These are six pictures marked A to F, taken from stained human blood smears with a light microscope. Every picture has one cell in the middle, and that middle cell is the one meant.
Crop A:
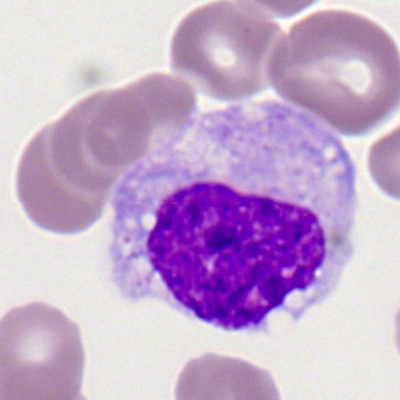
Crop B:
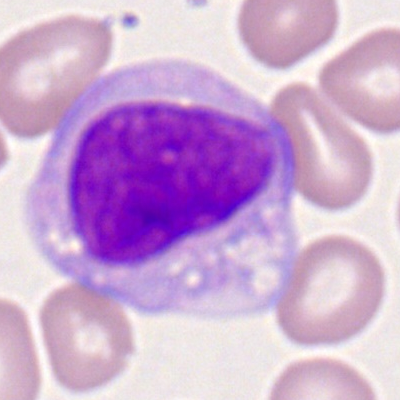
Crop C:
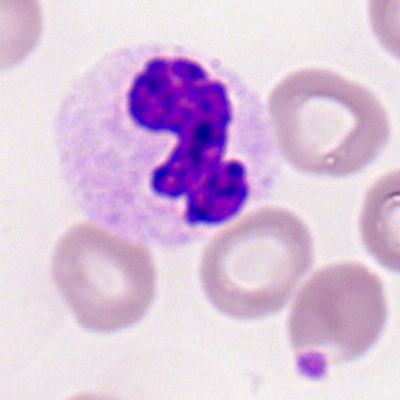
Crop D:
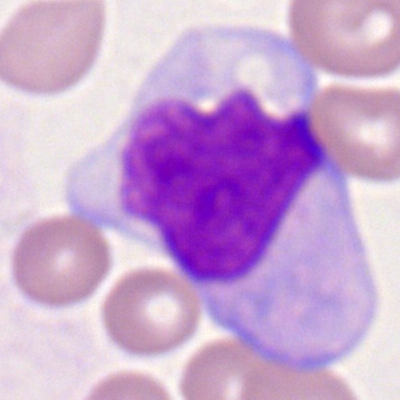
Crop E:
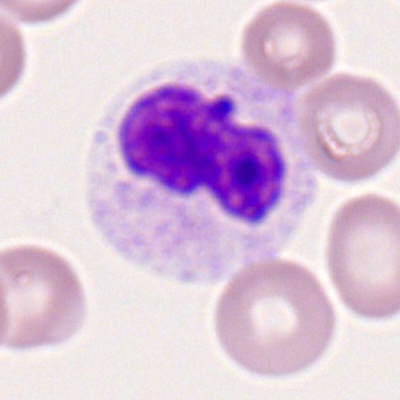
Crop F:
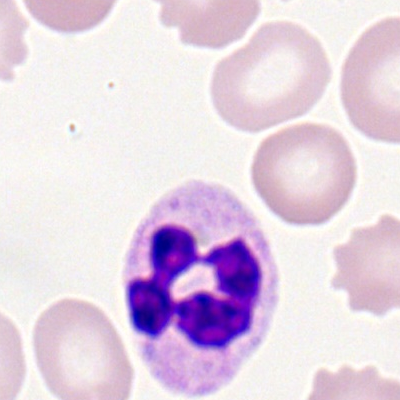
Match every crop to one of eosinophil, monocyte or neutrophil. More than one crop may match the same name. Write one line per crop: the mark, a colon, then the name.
A: monocyte
B: monocyte
C: neutrophil
D: monocyte
E: neutrophil
F: neutrophil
